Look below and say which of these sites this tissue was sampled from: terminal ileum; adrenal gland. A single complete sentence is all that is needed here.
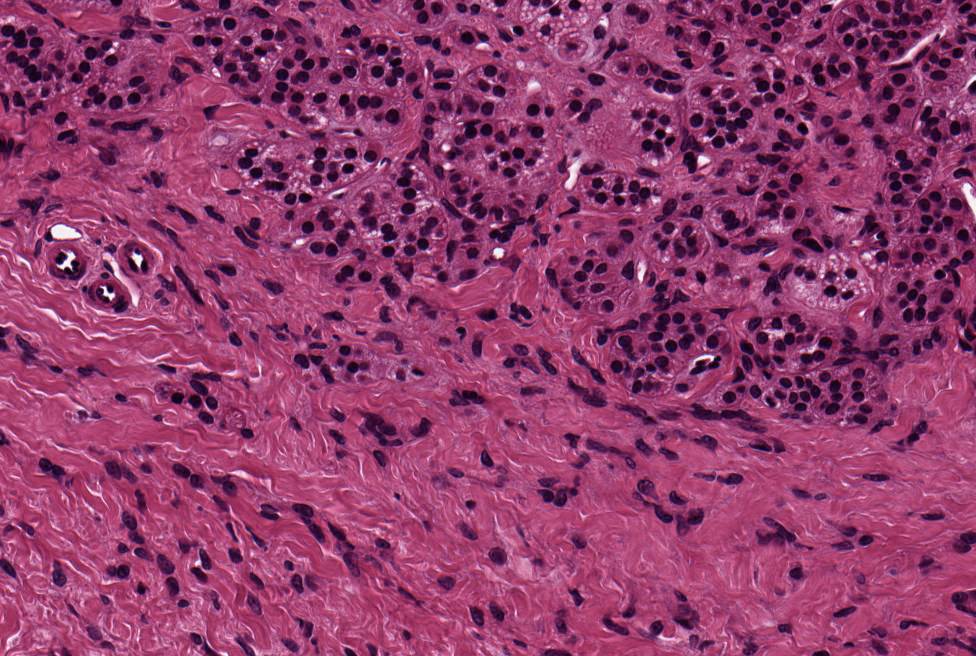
Tissue was sampled from the adrenal gland for this slide.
